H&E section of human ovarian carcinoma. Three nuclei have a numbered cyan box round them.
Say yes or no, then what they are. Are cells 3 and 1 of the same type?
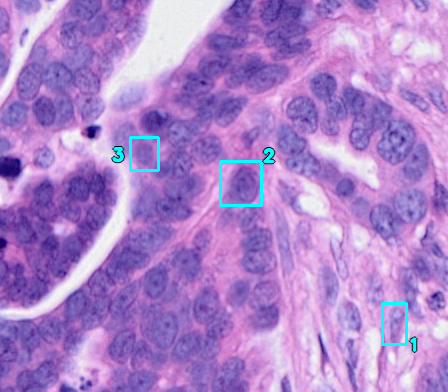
No, as for cell 3, it is a carcinoma cell, and cell 1 is a fibroblast.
